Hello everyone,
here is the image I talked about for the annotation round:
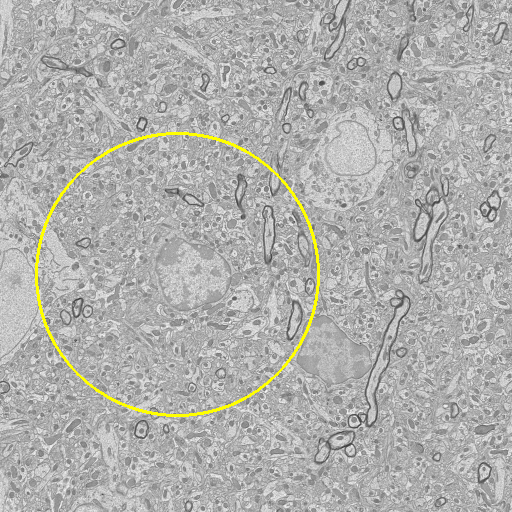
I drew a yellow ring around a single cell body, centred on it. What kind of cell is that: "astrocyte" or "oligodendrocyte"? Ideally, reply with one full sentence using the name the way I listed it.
The cell your yellow ring is centred on is an oligodendrocyte, going by your list.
